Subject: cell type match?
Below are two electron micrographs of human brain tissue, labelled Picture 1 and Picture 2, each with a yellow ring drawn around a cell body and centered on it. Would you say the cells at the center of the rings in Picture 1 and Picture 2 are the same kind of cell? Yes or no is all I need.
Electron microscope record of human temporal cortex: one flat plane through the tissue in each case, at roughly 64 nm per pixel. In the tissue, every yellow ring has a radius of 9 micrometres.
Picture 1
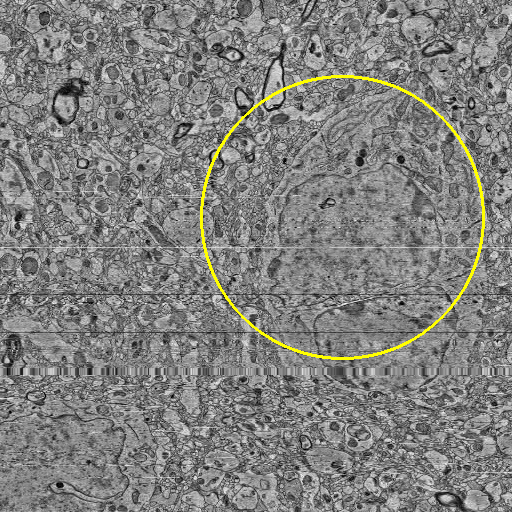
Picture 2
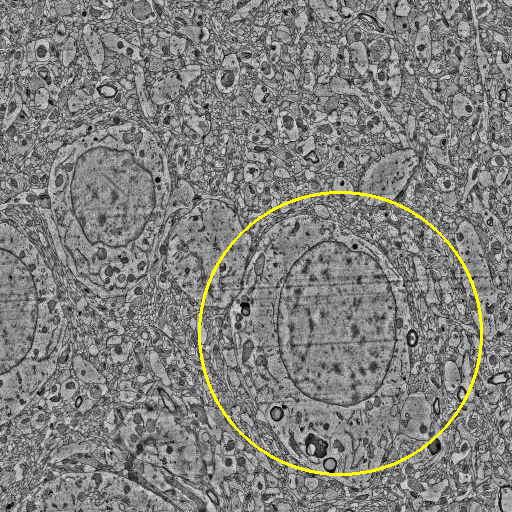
no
